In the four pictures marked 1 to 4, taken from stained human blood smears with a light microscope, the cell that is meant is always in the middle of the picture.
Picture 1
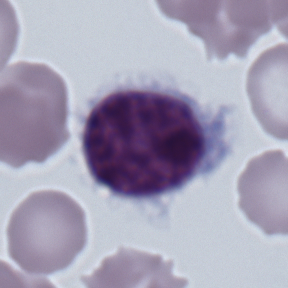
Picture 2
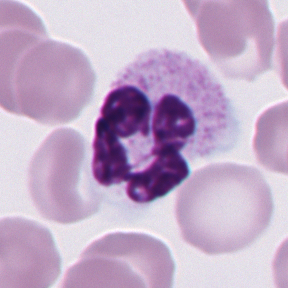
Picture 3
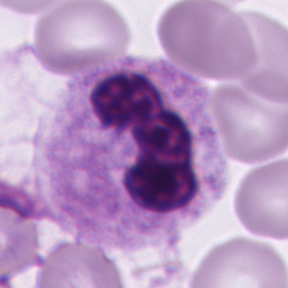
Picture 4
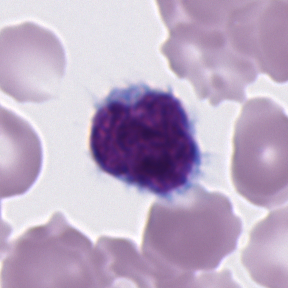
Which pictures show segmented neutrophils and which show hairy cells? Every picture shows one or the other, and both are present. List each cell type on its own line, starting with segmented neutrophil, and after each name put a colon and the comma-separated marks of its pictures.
segmented neutrophil: 2, 3
hairy cell: 1, 4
